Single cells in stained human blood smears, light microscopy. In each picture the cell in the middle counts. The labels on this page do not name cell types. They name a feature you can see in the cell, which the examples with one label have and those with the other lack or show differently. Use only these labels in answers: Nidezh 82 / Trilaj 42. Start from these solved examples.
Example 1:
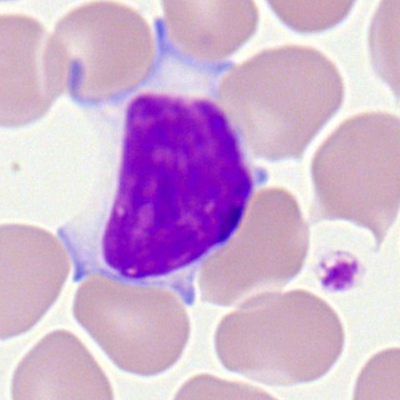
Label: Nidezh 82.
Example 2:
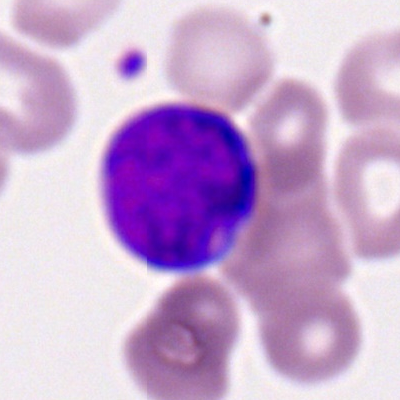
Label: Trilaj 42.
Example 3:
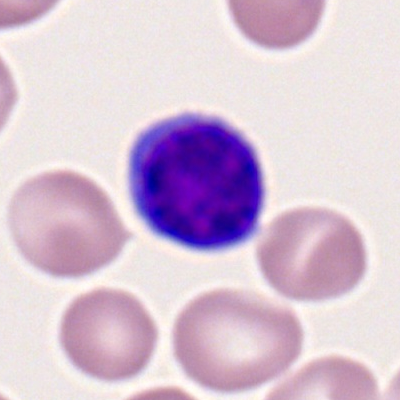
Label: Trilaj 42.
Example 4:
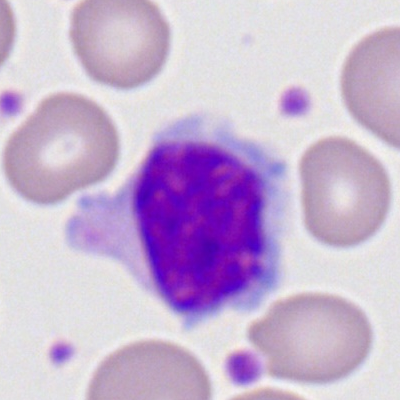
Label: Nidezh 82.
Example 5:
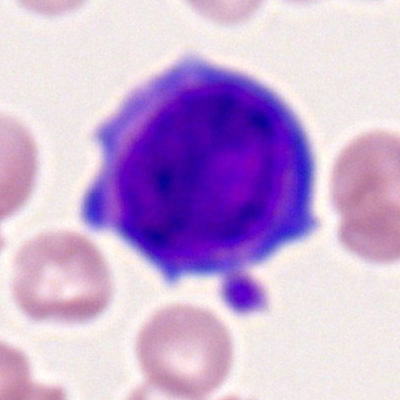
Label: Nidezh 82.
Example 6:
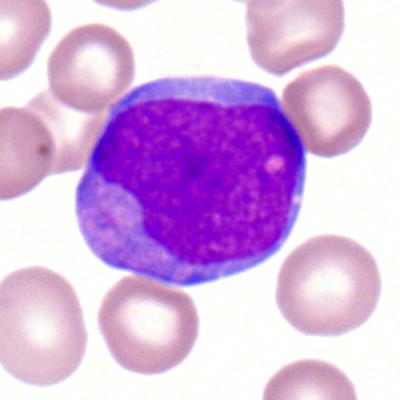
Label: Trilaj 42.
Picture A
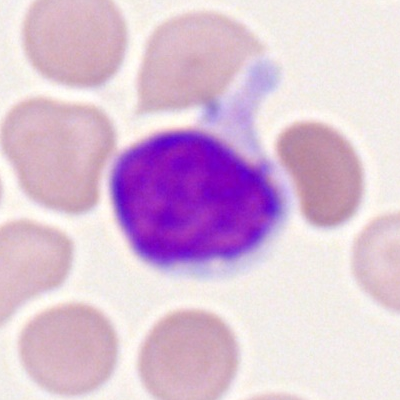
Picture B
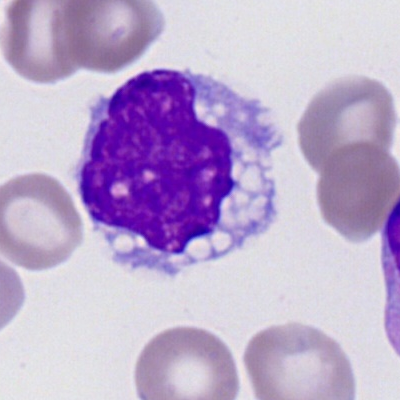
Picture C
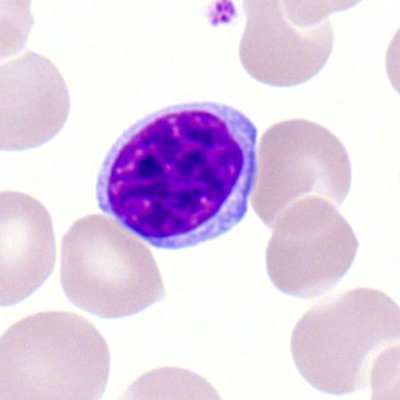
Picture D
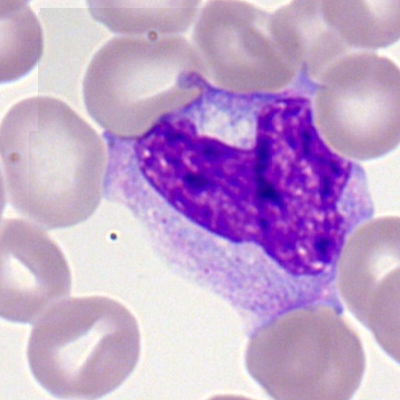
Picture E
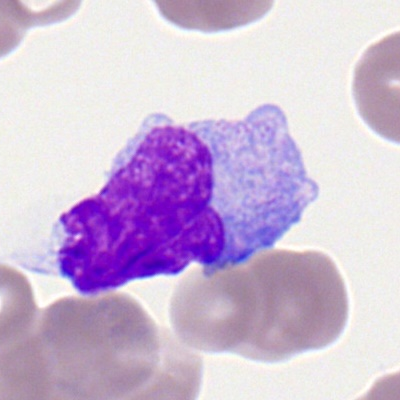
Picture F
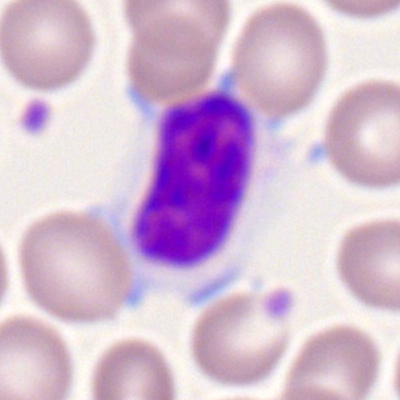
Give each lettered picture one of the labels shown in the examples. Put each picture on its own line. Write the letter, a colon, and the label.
A: Nidezh 82.
B: Nidezh 82.
C: Trilaj 42.
D: Nidezh 82.
E: Nidezh 82.
F: Nidezh 82.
